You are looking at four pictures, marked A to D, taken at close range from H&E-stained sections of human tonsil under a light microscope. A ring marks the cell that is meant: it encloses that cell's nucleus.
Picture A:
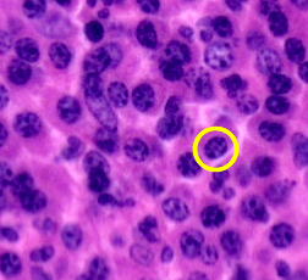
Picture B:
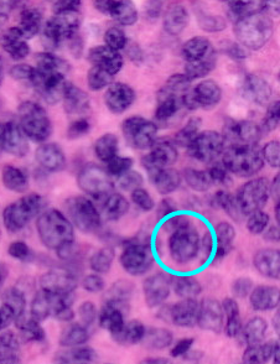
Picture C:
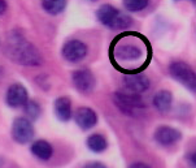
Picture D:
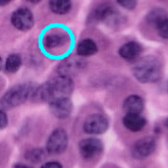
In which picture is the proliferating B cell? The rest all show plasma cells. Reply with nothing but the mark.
B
